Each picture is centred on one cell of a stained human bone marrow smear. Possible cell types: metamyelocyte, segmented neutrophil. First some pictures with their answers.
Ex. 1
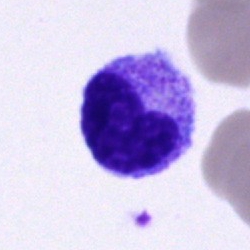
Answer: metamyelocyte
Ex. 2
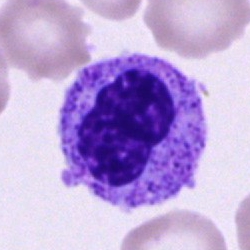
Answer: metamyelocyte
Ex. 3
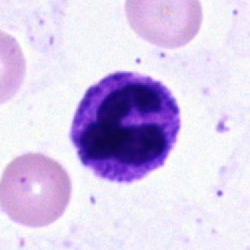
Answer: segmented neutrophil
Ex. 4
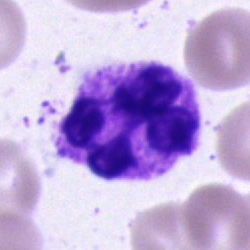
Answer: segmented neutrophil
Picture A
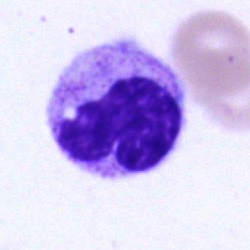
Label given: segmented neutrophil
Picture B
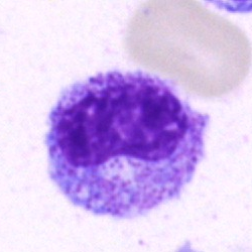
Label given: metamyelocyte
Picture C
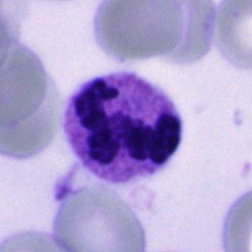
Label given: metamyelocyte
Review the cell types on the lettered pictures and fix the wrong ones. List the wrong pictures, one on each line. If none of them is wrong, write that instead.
C: segmented neutrophil, not metamyelocyte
